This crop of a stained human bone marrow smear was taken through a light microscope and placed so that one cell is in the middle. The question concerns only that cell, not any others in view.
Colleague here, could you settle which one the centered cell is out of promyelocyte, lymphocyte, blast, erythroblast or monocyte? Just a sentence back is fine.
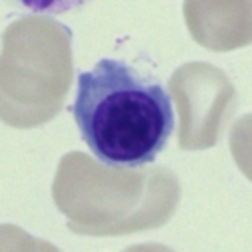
By classification, the middle cell of this crop is an erythroblast.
